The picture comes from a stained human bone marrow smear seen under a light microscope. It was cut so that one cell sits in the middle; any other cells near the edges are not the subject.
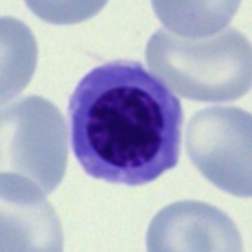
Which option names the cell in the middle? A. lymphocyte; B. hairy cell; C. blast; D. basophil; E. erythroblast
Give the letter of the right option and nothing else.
E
